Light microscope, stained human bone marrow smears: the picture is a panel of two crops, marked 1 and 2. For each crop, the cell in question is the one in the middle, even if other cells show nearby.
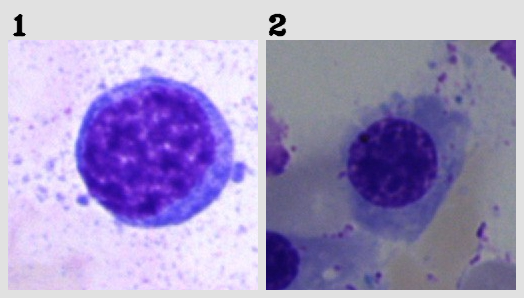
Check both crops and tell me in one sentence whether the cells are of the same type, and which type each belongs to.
No, enter a blast for crop 1 and an erythroblast for crop 2.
